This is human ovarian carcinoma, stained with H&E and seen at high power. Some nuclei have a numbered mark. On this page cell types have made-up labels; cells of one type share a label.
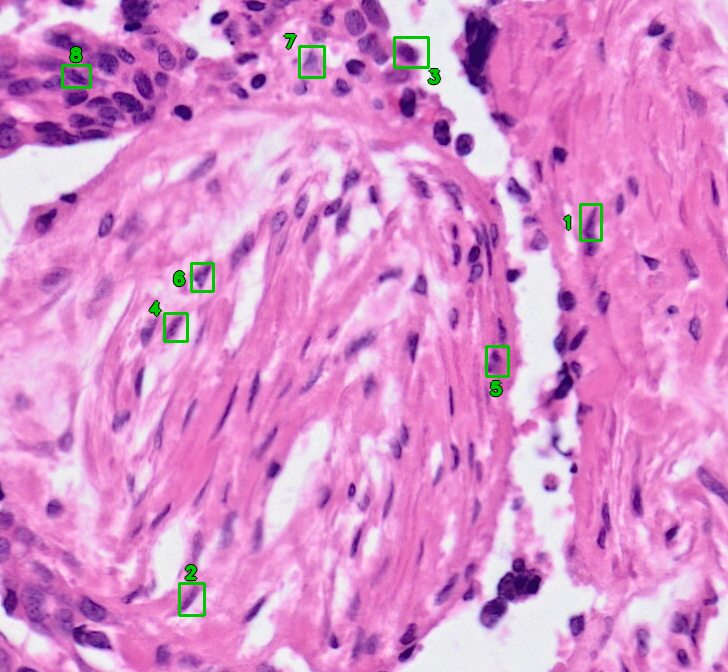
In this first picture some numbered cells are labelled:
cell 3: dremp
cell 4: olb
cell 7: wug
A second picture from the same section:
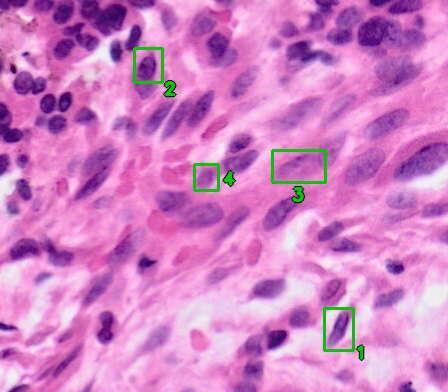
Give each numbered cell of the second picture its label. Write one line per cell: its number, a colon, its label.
1: olb
2: wug
3: olb
4: olb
